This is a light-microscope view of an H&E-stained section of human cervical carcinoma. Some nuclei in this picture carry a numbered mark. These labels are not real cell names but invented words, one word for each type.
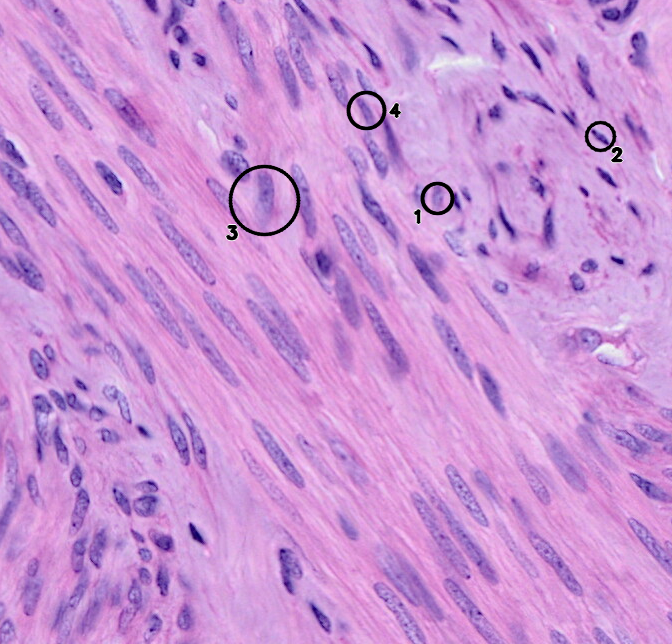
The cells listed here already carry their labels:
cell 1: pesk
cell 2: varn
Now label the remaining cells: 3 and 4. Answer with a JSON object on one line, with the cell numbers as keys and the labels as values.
{"3": "pesk", "4": "pesk"}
